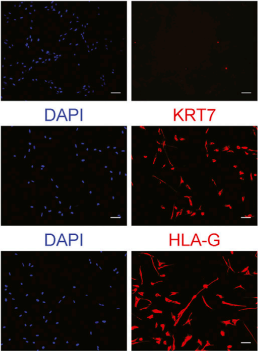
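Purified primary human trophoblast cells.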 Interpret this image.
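Scattered single cultured cells lie apart from one another on a dark background, each with one small oval blue nucleus. In the stained rows the red fills the cytoplasm of nearly every cell, outlining elongated, spindle-shaped or irregular bodies, many with long thin extensions.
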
